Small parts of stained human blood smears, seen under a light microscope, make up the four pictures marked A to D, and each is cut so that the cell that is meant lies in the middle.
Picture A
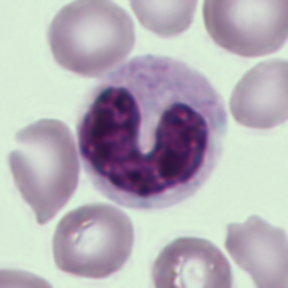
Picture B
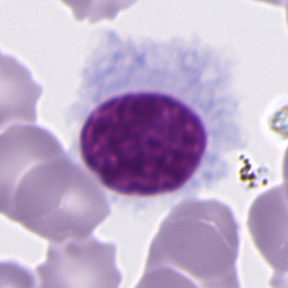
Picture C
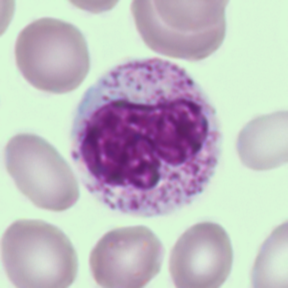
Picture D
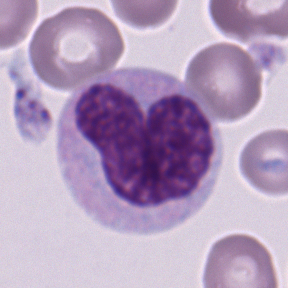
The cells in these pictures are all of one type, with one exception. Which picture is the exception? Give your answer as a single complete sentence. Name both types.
The others show band neutrophils, but picture B shows a hairy cell.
